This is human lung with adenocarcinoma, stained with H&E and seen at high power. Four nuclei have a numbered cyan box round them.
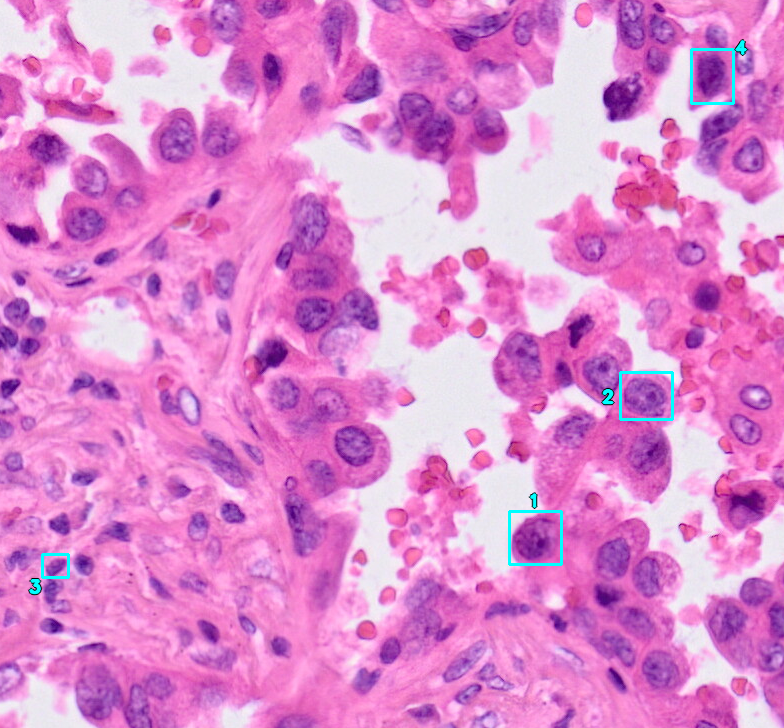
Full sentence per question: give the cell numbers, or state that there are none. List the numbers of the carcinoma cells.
The cells with numbers 1, 2 and 4 are carcinoma cells by type.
